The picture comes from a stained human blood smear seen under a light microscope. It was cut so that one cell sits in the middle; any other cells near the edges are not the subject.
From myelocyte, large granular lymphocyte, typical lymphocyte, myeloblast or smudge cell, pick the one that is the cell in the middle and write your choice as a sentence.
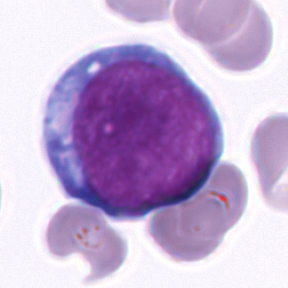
The central element of this crop is a cell, namely a myeloblast.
